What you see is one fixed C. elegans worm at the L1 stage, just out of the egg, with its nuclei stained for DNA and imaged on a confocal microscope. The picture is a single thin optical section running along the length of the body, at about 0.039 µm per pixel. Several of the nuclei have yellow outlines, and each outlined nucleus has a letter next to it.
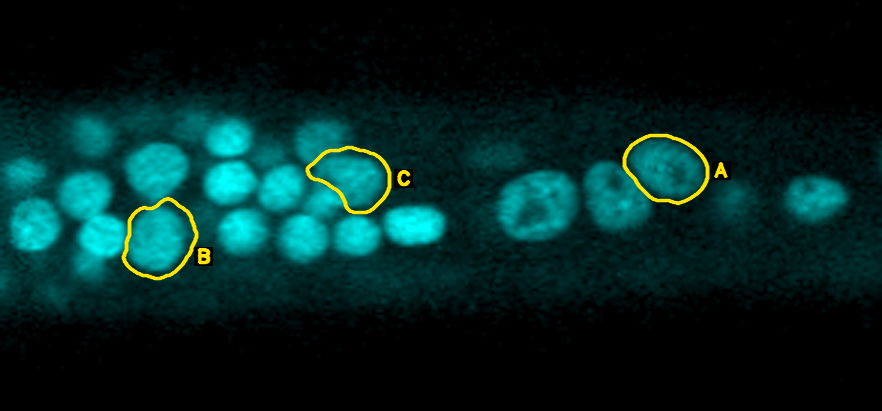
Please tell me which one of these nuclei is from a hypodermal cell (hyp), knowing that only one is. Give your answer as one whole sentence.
A is the one that belongs to a hypodermal cell (hyp).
